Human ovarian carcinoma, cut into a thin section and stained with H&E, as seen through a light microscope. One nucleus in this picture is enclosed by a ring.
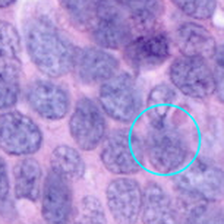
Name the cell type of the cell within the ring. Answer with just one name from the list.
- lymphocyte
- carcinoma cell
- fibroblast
carcinoma cell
